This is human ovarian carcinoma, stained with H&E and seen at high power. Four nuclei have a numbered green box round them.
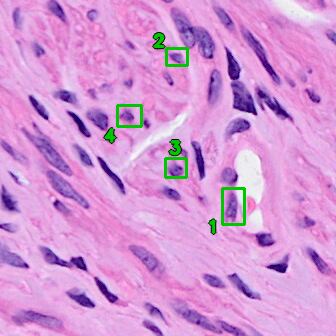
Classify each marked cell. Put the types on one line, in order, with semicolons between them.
endothelial cell; smooth muscle cell; smooth muscle cell; smooth muscle cell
